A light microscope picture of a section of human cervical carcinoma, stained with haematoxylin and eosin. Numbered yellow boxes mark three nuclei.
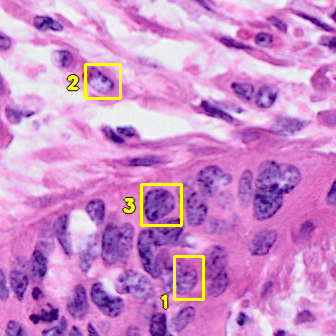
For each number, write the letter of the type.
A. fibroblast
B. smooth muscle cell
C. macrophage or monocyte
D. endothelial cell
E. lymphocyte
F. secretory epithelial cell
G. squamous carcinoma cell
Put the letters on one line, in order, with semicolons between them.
G; D; G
